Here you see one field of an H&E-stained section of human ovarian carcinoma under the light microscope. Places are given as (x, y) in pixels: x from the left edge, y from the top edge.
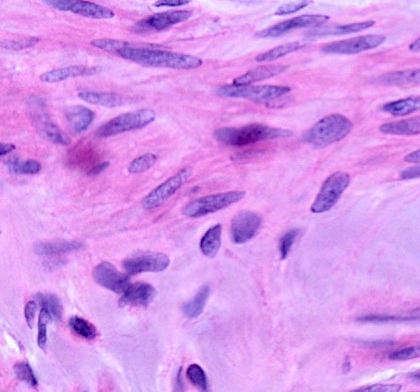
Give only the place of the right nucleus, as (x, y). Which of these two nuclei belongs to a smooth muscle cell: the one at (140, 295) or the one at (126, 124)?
(126, 124)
